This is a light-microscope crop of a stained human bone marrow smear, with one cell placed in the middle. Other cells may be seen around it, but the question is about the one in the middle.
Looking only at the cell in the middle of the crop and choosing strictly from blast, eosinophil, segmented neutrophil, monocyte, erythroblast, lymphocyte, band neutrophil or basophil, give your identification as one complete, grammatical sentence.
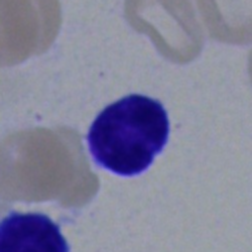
The cell at the heart of this crop is a lymphocyte.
